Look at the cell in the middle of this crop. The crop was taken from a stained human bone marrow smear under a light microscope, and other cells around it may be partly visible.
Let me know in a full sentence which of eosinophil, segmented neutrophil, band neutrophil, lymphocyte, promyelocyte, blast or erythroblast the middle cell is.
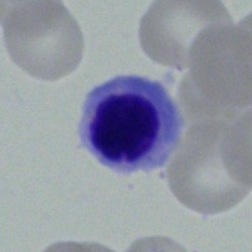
Where the crop is centred, there is an erythroblast.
